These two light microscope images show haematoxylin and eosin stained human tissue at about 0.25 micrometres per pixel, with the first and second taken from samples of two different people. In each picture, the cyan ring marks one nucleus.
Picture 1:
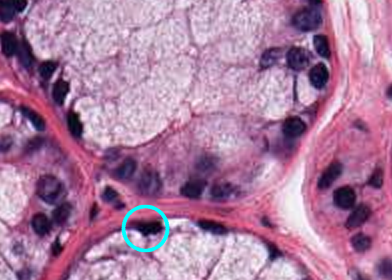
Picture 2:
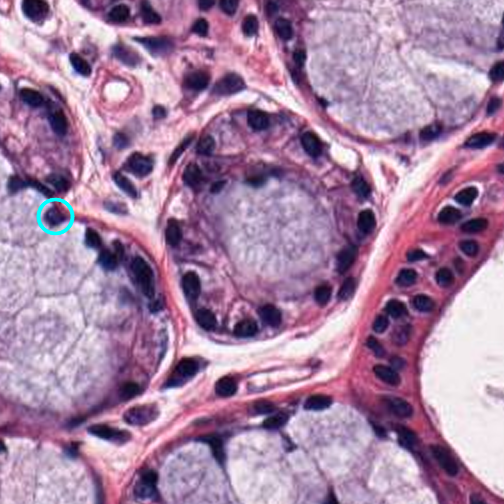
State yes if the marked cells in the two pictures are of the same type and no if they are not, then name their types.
Yes, both are mucous gland cells.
